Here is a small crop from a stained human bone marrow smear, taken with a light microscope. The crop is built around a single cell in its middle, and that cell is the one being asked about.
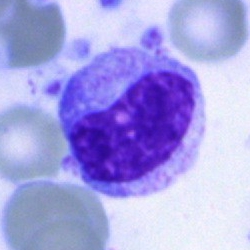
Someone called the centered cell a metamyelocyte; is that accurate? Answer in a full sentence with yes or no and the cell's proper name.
Yes, the cell that occupies the centre is a metamyelocyte.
